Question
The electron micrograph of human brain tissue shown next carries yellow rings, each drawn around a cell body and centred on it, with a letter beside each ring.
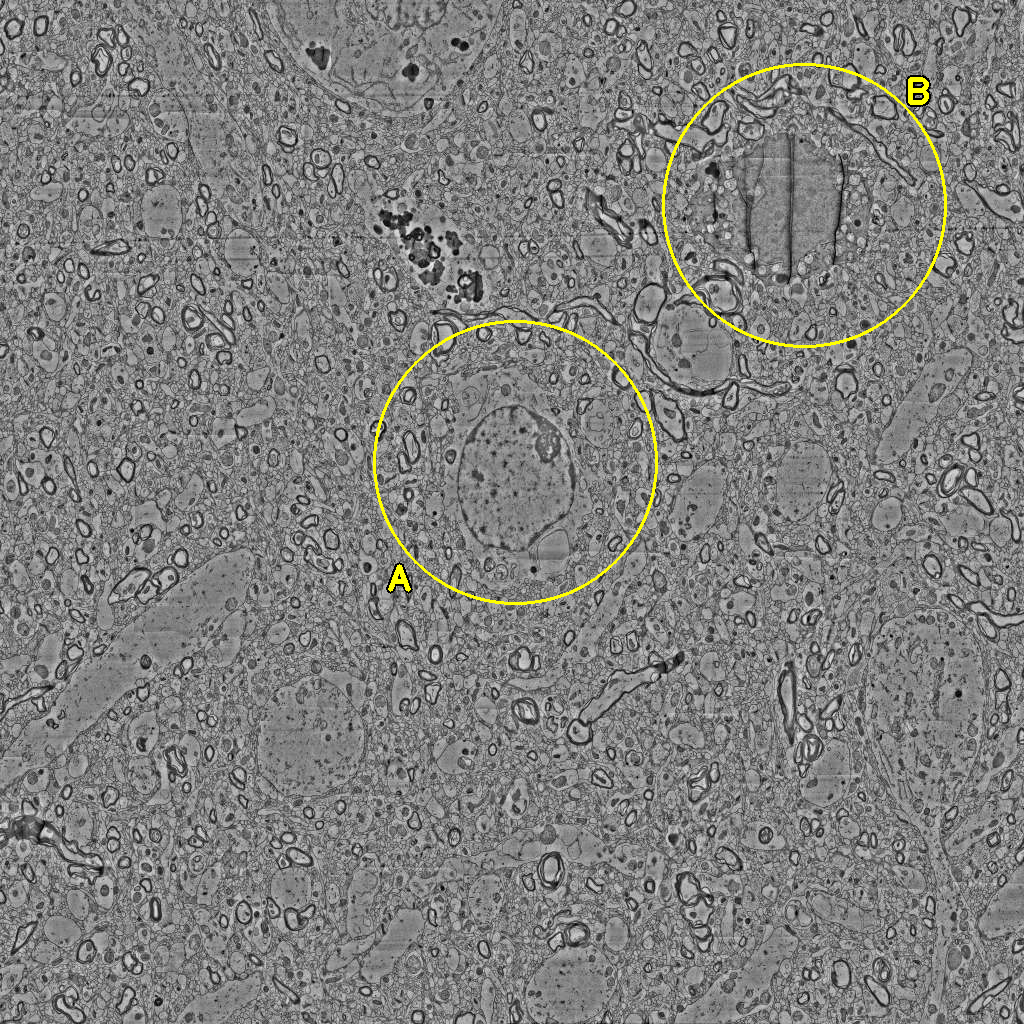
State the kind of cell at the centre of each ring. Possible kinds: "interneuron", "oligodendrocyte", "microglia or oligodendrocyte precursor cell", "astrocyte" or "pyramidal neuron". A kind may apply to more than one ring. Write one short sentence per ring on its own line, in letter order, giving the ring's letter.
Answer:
The cell centred in ring A is an astrocyte.
The cell centred in ring B is an interneuron.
